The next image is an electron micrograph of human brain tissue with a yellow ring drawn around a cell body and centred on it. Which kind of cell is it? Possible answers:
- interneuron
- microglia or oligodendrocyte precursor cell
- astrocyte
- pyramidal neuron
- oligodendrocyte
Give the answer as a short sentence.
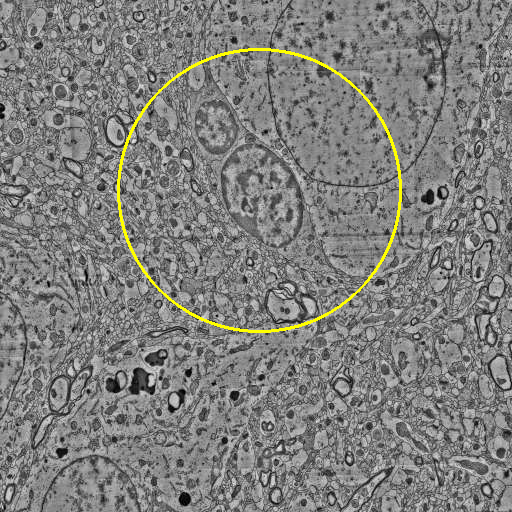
In the ring's centre is an oligodendrocyte.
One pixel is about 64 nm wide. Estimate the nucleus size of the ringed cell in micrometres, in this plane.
The nucleus measures about 7 by 5 micrometres in this plane.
